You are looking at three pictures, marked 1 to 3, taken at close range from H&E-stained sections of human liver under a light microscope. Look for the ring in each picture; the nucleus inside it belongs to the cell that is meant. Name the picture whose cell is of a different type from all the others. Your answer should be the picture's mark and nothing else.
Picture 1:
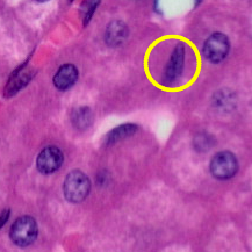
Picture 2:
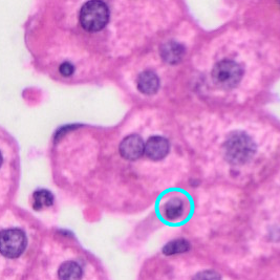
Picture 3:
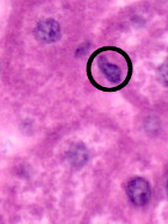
2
